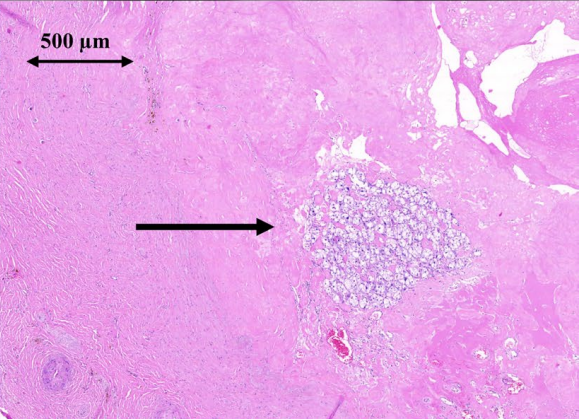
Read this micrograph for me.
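Nearly the whole field consists of dense, pale pink fibrous tissue with wavy collagen and sparse nuclei. Near the center lies a single small, rounded cluster of cells with pale, clear-appearing cytoplasm, sharply set off from the surrounding fibrous tissue. A few small vessels with red blood cells lie nearby. At the upper right, pink acellular material with clefts and clear spaces is seen. The picture is dominated by scar-like tissue rather than tumor.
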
